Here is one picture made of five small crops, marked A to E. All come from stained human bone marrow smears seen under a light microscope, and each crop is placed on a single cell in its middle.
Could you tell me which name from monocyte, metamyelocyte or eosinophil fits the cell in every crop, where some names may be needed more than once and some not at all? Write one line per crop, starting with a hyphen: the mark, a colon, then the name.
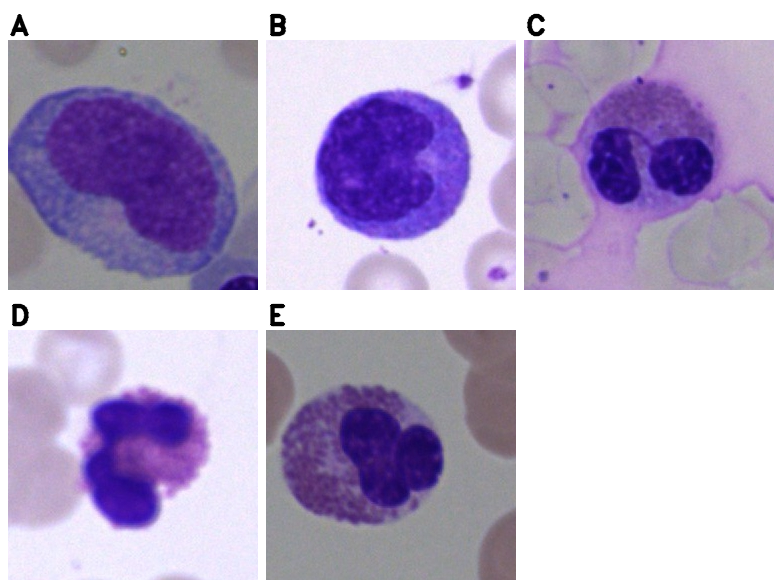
- A: monocyte
- B: monocyte
- C: eosinophil
- D: eosinophil
- E: eosinophil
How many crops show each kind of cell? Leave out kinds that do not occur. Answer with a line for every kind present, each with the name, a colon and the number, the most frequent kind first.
eosinophil: 3
monocyte: 2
